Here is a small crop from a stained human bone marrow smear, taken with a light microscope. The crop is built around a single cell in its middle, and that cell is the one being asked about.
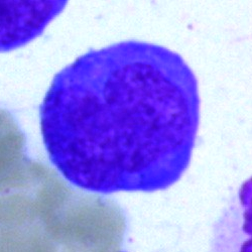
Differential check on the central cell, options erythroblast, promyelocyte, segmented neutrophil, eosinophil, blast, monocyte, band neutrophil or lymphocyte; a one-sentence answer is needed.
The cell found in the middle of this crop is a blast.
